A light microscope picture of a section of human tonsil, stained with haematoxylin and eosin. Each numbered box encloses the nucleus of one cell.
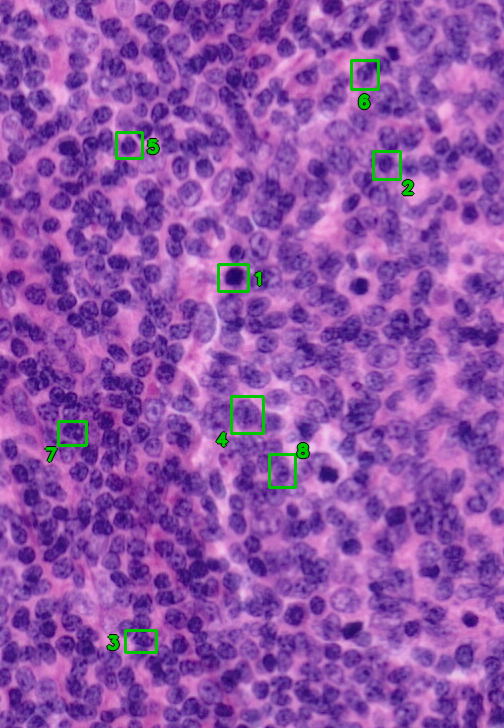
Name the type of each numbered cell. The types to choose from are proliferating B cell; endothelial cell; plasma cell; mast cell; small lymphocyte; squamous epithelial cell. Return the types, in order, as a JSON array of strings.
["proliferating B cell", "proliferating B cell", "small lymphocyte", "proliferating B cell", "small lymphocyte", "proliferating B cell", "small lymphocyte", "proliferating B cell"]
